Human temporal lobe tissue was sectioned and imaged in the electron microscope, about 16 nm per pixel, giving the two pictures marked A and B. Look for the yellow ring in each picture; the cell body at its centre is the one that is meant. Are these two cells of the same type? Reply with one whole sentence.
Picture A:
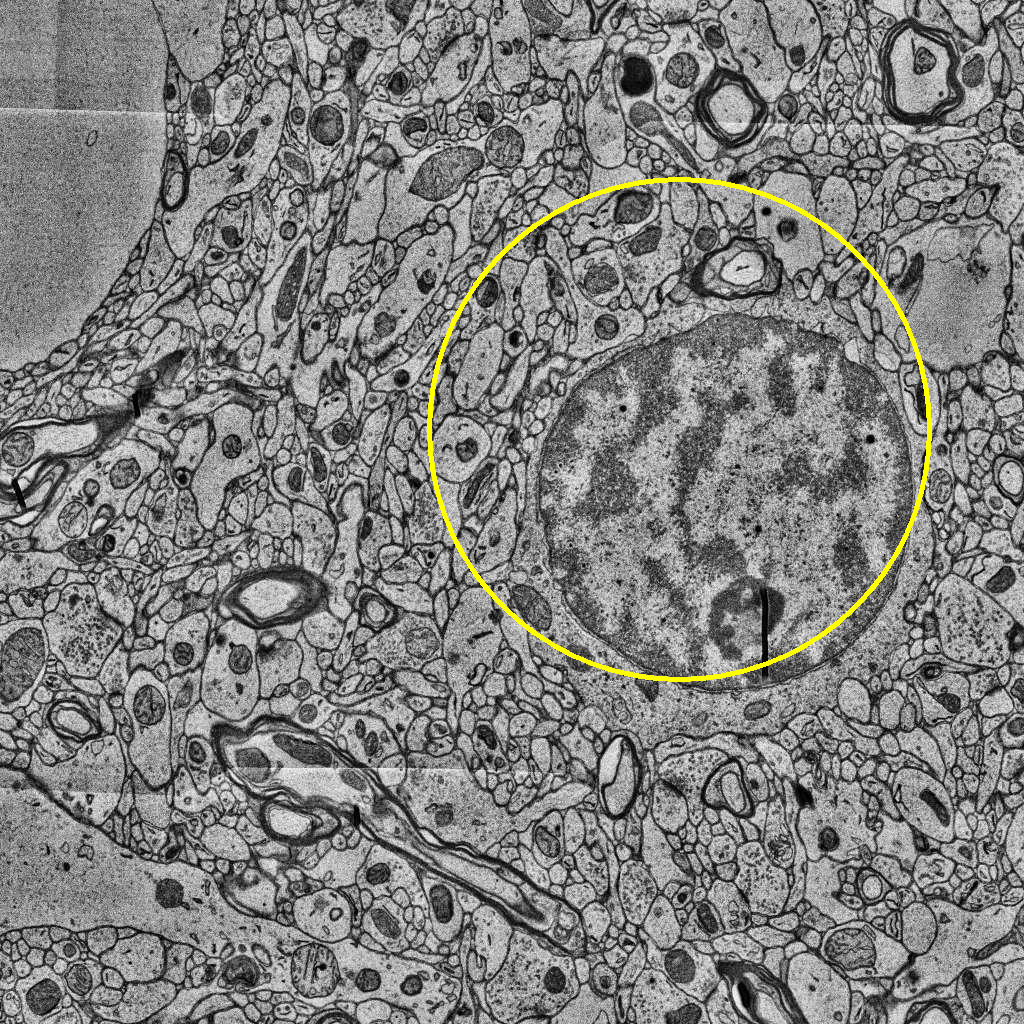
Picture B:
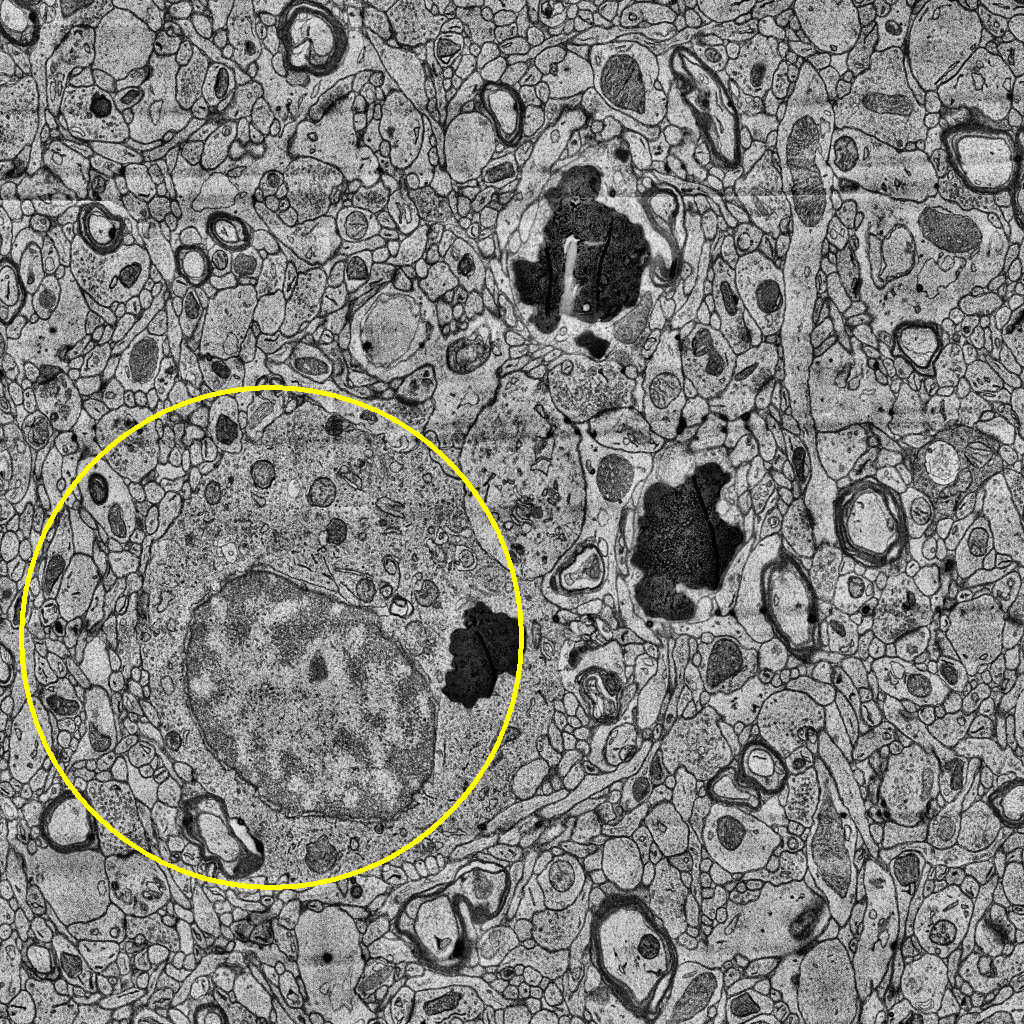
Yes; the cells in both pictures are oligodendrocytes.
